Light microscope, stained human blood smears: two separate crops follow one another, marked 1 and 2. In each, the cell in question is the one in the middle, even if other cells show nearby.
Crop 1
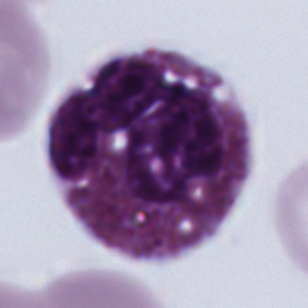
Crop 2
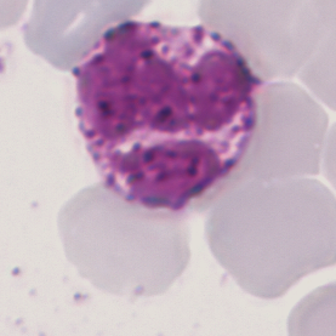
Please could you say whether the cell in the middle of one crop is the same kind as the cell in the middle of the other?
no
